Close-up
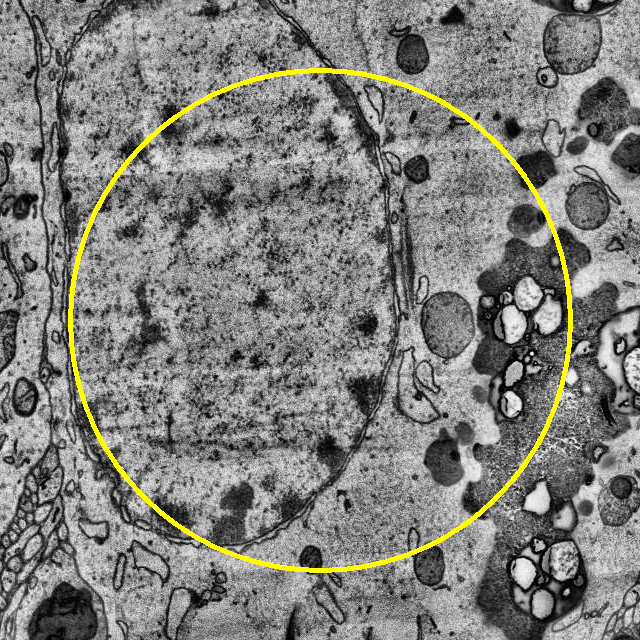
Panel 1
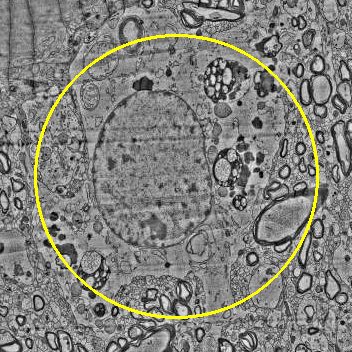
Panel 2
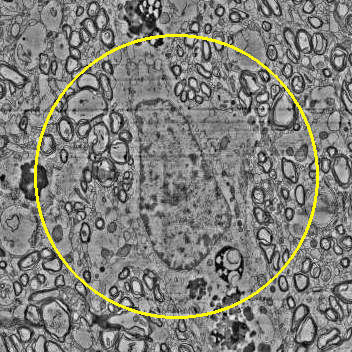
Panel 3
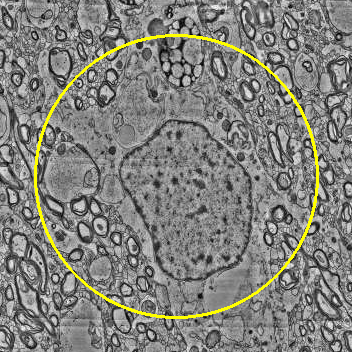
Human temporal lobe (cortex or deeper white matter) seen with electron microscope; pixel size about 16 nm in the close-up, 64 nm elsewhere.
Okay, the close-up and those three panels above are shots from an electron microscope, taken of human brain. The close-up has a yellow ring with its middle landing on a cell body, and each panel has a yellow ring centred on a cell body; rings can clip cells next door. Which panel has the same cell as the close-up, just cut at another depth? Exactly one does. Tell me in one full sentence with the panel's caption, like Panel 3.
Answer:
The ringed cell whose close-up is shown lies in Panel 1.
